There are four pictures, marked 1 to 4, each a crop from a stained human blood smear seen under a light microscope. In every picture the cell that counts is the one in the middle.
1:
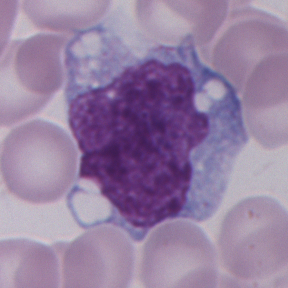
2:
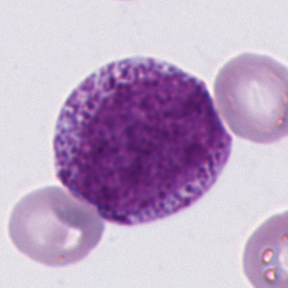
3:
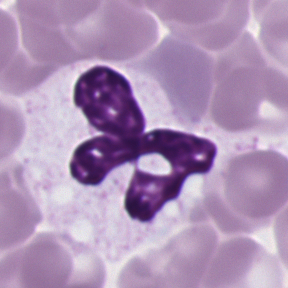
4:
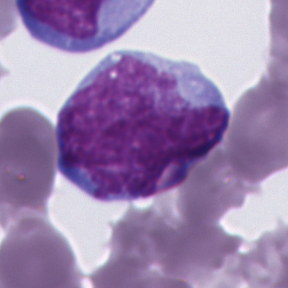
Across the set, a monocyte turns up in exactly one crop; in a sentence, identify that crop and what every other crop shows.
In crop 1 the central cell is a monocyte, while crop 2 is a promyelocyte, crop 3 is a neutrophil and crop 4 is a blast.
